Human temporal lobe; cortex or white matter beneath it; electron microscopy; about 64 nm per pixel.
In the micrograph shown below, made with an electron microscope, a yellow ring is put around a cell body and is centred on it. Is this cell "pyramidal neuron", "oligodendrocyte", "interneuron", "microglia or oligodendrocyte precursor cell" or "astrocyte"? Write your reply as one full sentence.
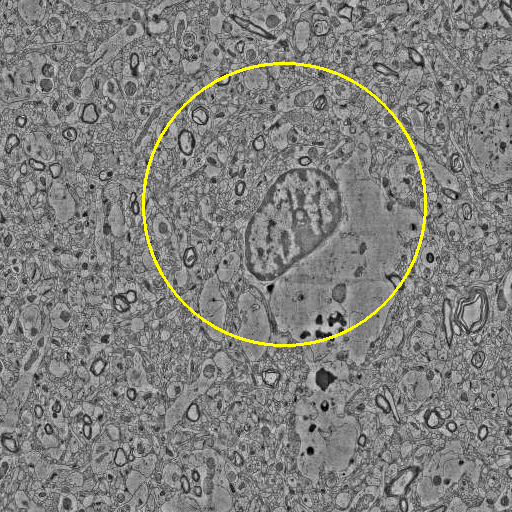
In the micrograph, a microglial cell or oligodendrocyte precursor cell is the cell at the centre of the yellow ring.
